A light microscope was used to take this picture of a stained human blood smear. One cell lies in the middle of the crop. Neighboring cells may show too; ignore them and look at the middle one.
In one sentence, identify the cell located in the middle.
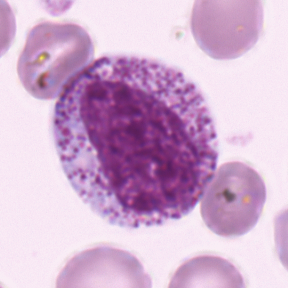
Present in the middle of the crop is a myelocyte.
